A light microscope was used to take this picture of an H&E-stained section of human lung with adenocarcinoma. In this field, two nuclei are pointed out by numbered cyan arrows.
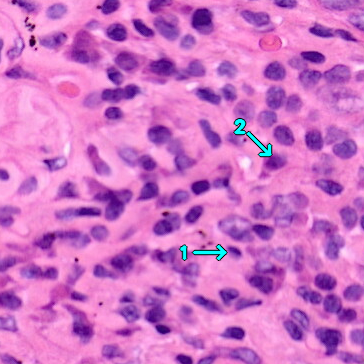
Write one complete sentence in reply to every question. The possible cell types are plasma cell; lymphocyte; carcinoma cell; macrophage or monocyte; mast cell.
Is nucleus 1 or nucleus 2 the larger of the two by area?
Number 2 is larger; its area is about 2 times that of number 1.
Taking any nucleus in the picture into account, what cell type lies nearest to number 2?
Closest to number 2 lies the nucleus of a lymphocyte.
